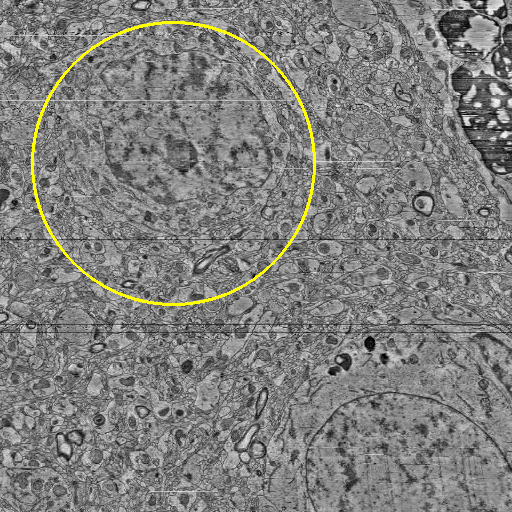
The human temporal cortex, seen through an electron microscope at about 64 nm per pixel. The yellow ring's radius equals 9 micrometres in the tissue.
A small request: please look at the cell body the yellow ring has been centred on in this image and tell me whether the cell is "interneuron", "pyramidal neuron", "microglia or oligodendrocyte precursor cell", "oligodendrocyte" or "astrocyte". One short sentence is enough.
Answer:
The cell marked by the ring is an interneuron.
